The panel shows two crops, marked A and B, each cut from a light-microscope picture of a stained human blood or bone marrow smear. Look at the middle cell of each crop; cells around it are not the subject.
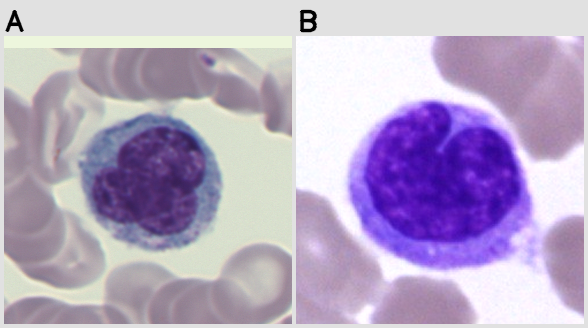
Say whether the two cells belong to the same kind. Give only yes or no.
yes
